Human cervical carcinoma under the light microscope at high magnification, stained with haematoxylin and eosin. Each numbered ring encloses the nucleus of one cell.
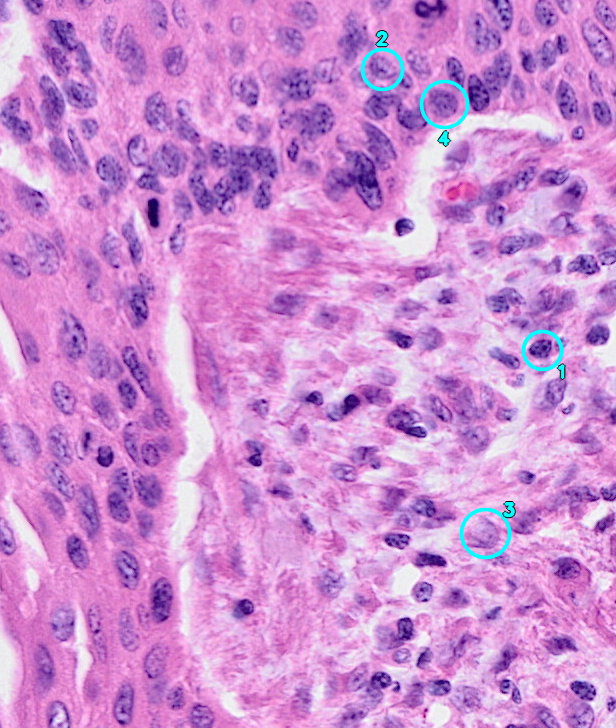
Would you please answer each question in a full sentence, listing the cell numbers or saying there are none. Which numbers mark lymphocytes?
Of the cells marked with numbers, cell 1 is the only one that is a lymphocyte.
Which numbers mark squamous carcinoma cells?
To be specific, the cells numbered 2 and 4 are squamous carcinoma cells.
